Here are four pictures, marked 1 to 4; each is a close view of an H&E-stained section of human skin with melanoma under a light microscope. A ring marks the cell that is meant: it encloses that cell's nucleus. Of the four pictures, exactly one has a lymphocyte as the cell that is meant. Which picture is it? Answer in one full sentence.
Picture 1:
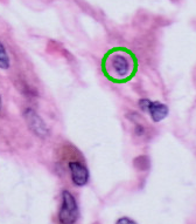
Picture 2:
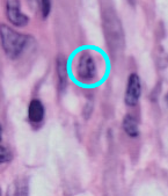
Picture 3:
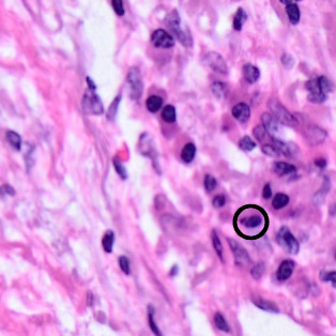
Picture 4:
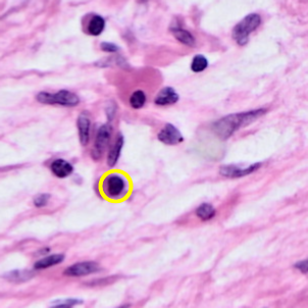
Picture 1 is the one that shows the lymphocyte.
